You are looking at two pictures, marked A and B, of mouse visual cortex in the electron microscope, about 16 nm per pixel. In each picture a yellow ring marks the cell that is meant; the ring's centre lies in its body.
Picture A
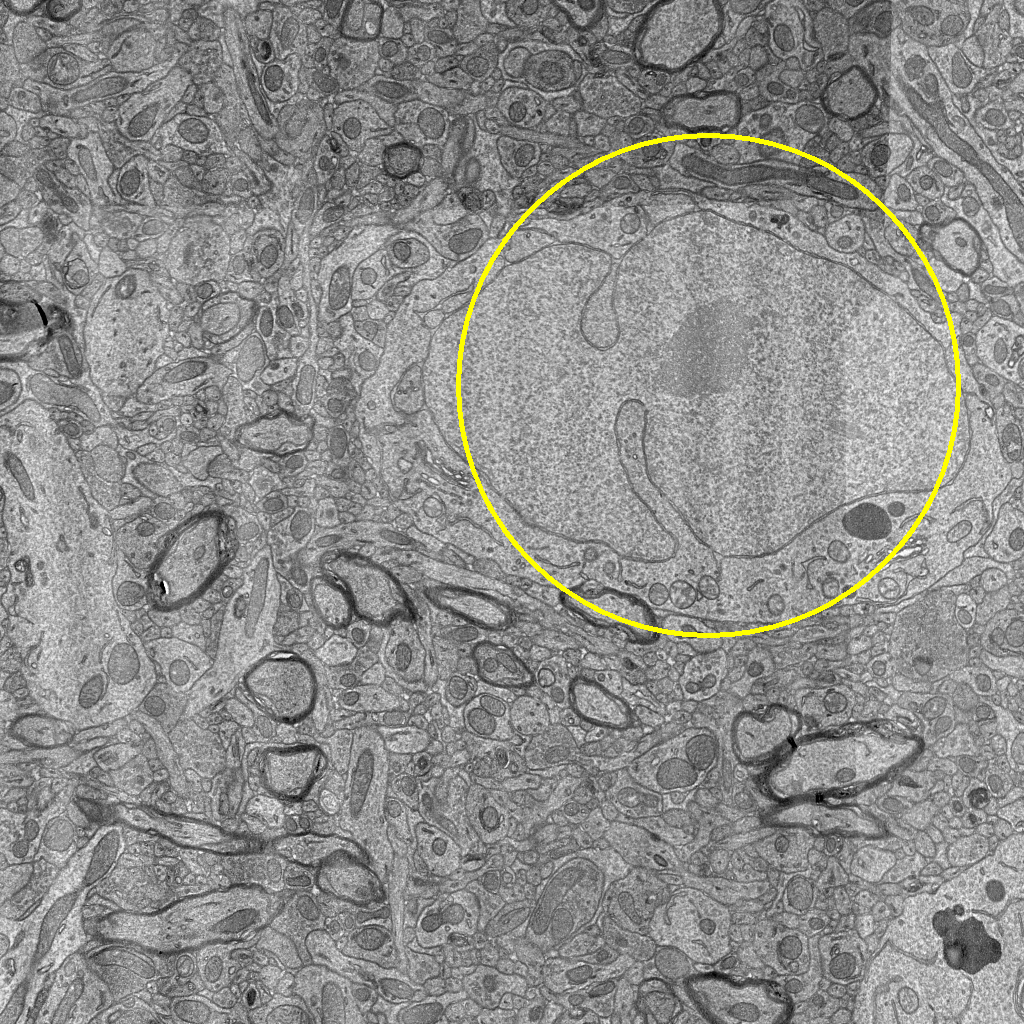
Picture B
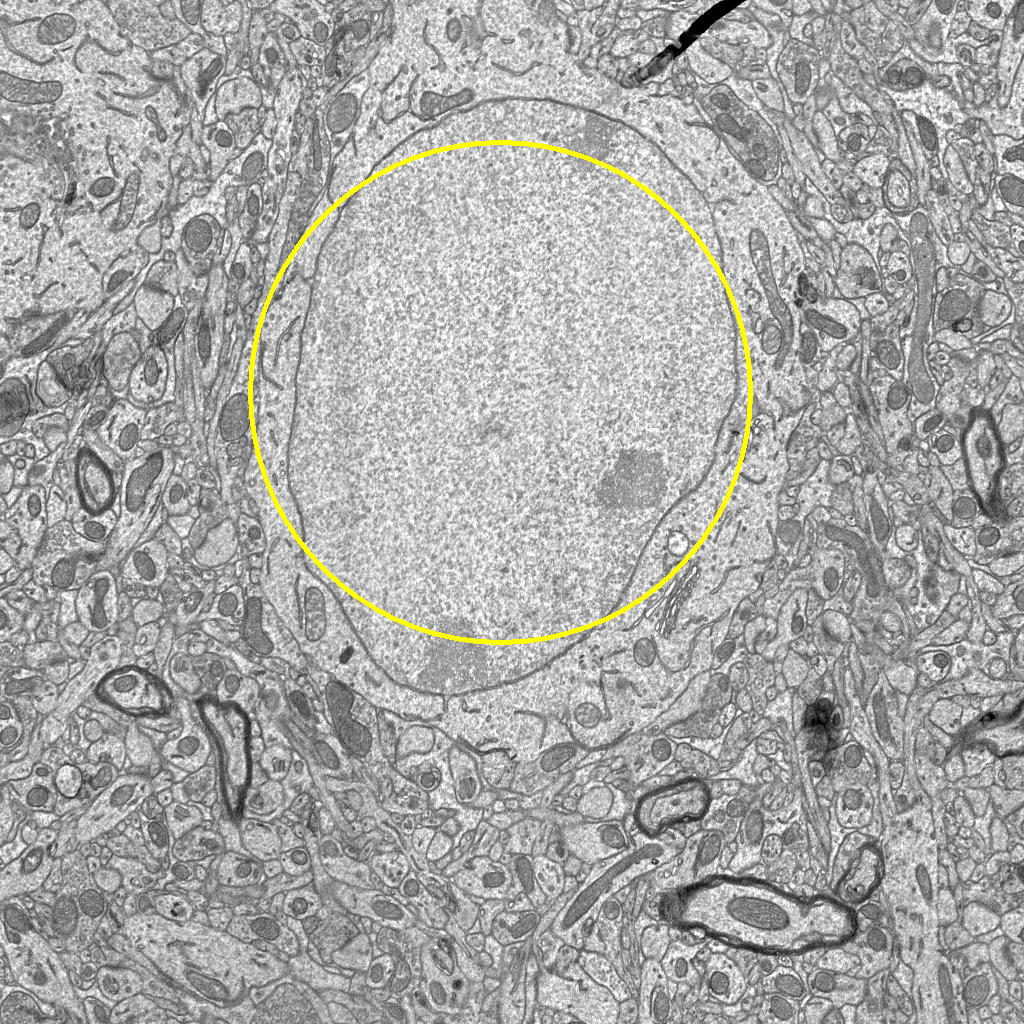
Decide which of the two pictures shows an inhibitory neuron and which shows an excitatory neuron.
Picture B shows an excitatory neuron, while picture A shows an inhibitory neuron.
